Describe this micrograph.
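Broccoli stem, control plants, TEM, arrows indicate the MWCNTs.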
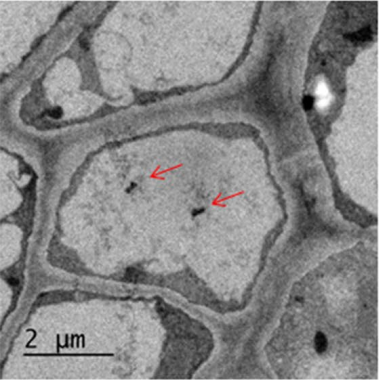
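Stem cells of polygonal outline are separated by thick, grey cell walls. Small dark particles lie within the vacuole of the central cell.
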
